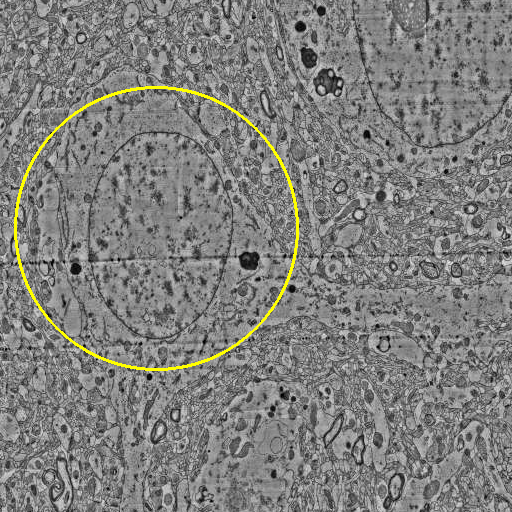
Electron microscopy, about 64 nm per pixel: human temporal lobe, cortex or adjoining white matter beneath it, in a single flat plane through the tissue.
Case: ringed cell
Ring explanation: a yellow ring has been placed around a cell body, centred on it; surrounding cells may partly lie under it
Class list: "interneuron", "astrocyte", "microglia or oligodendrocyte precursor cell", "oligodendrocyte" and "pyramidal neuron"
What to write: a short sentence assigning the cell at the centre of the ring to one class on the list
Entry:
The cell at the ring's centre is a pyramidal neuron.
